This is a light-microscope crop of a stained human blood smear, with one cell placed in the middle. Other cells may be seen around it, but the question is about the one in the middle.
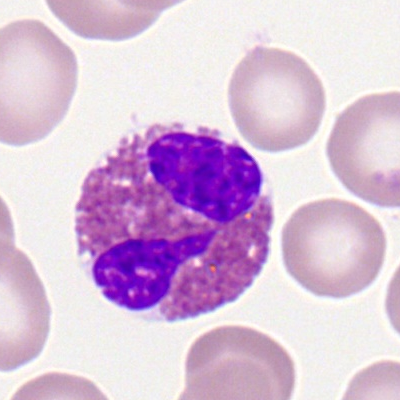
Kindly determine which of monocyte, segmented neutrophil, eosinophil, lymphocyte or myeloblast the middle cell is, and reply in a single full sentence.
The cell in the middle of the field of view is an eosinophil.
